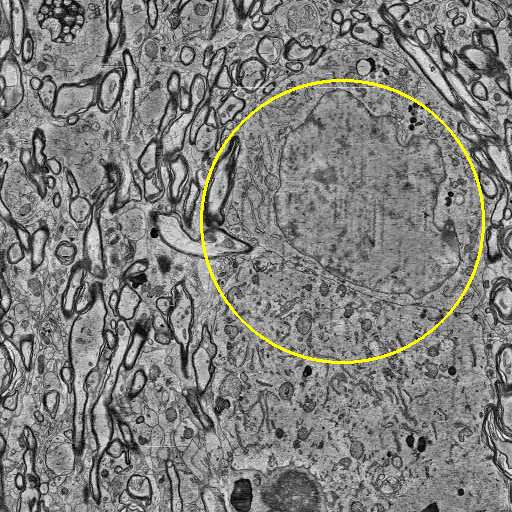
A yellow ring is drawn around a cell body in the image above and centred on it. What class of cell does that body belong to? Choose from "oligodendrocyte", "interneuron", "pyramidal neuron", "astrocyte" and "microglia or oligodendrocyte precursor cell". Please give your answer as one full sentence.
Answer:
The yellow ring above is centred on the cell body of an interneuron.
